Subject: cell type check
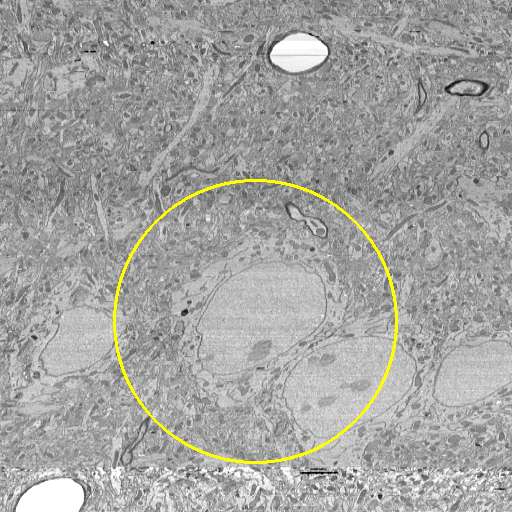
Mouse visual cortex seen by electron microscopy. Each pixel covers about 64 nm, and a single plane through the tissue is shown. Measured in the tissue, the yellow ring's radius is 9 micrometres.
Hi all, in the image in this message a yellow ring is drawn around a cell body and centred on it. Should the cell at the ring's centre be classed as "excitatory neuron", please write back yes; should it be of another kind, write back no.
yes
